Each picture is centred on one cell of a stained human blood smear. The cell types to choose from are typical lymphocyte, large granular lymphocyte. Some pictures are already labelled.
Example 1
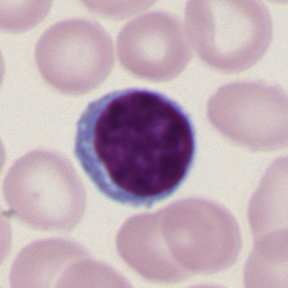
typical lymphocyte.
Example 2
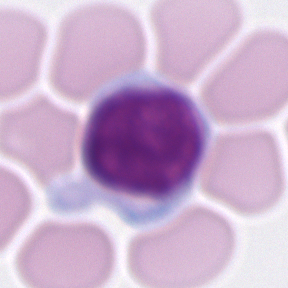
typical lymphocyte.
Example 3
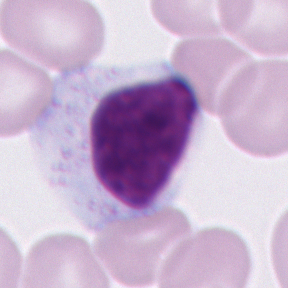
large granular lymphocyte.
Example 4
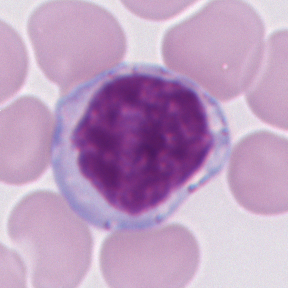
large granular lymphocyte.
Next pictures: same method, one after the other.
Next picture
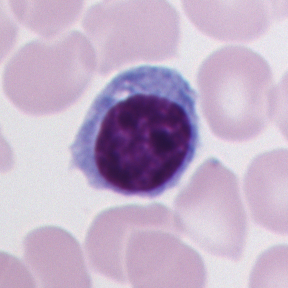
typical lymphocyte.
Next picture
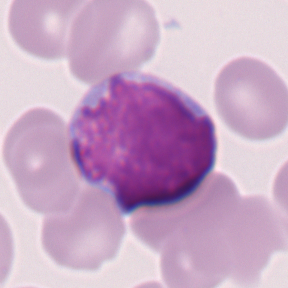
large granular lymphocyte.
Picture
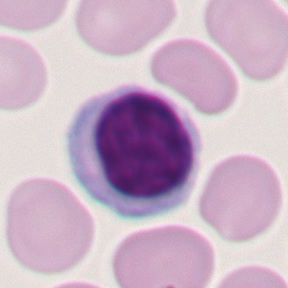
typical lymphocyte.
